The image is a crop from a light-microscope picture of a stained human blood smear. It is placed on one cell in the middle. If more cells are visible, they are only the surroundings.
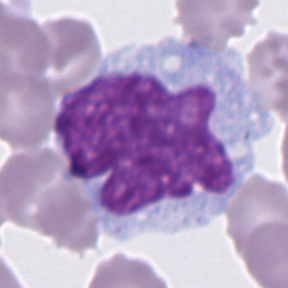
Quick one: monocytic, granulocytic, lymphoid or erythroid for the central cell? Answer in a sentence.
Originating in the monocytic lineage is the cell at the center of the crop.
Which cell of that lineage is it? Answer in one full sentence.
The middle of this crop is occupied by a monocyte.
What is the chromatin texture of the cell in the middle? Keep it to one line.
The chromatin shows a fine pattern without coarse clumps.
